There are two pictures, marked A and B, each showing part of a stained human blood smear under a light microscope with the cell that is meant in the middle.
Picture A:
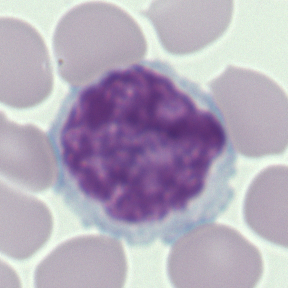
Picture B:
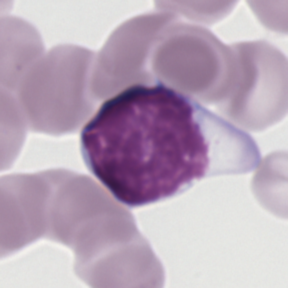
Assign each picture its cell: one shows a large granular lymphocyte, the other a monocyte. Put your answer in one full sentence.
Picture A shows a monocyte and picture B shows a large granular lymphocyte.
